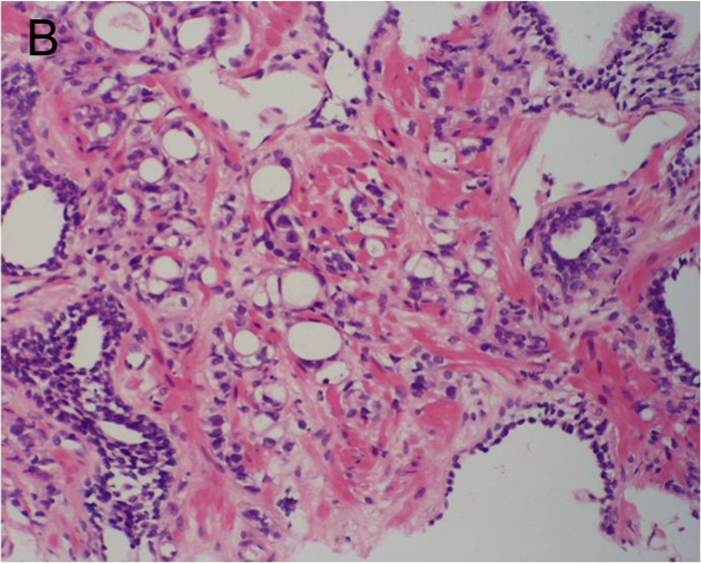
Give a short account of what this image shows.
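This is prostate tissue infiltrated by adenocarcinoma. The tumour cells have enlarged, rounded purple nuclei and pale to lightly pink cytoplasm. These structures lie among bundles of pink, smooth-muscle-rich stroma. At the edges there are a few larger glands lined by denser, darker-staining epithelium, and these look more orderly. The loss of normal lobular architecture and the fused and cord-like growth of the central glands point to a high-grade carcinoma.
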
